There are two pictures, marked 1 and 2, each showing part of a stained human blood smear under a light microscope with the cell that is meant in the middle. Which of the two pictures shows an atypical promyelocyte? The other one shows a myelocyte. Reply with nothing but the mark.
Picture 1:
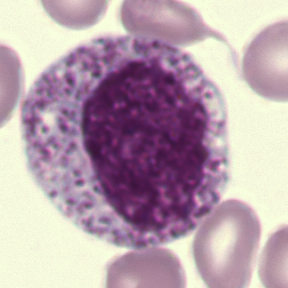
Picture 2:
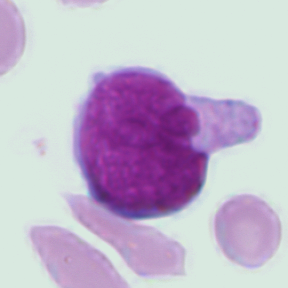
2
